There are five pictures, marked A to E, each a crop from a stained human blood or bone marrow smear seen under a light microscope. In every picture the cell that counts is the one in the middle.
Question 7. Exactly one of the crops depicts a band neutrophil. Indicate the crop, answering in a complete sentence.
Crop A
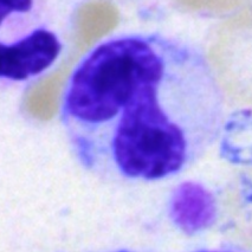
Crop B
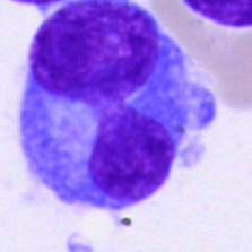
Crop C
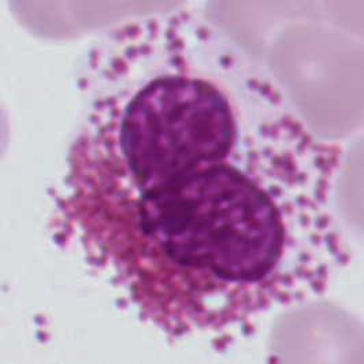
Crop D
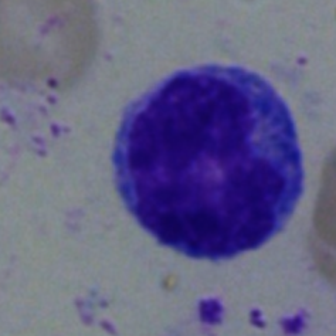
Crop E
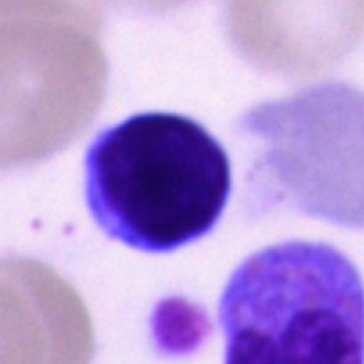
Crop A, of the crops presented, is the one showing a band neutrophil.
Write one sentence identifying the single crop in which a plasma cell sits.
The crop marked B is the one that shows a plasma cell.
